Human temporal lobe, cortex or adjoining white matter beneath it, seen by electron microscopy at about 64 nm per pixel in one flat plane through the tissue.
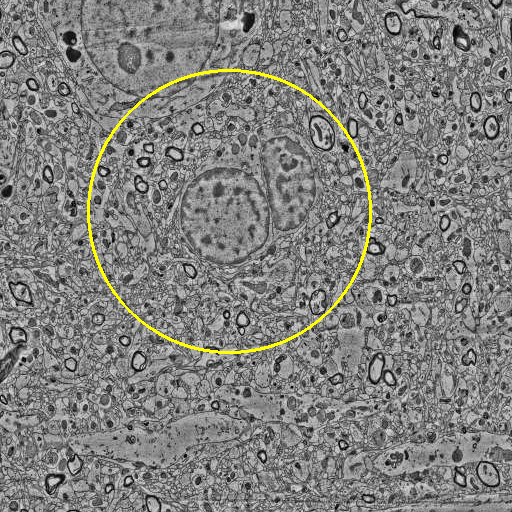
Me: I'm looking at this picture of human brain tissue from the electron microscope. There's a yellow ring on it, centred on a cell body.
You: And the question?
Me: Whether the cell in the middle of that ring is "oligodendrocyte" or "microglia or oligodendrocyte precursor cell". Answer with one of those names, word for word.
oligodendrocyte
